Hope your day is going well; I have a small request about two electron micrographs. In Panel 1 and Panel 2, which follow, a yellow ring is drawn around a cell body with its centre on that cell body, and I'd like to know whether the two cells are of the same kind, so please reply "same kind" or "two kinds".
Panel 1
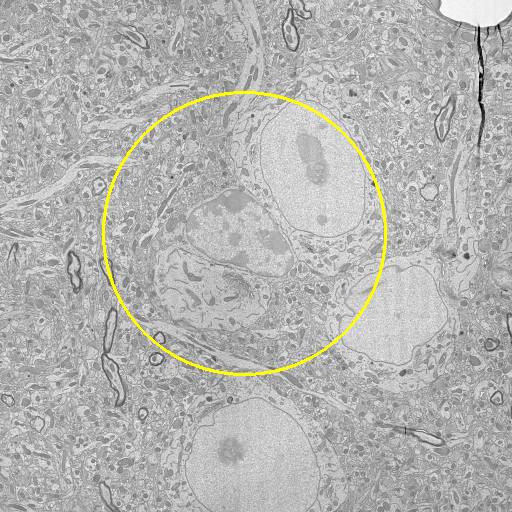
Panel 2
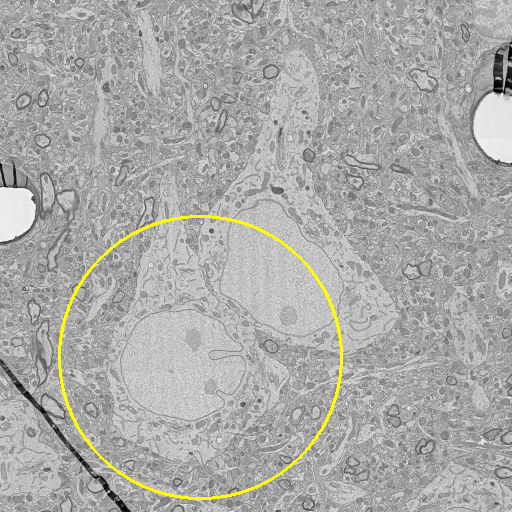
two kinds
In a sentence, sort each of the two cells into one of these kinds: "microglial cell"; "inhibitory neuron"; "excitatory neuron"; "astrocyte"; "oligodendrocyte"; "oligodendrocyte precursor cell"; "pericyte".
The first of the two cells is an oligodendrocyte, and the second is an excitatory neuron.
